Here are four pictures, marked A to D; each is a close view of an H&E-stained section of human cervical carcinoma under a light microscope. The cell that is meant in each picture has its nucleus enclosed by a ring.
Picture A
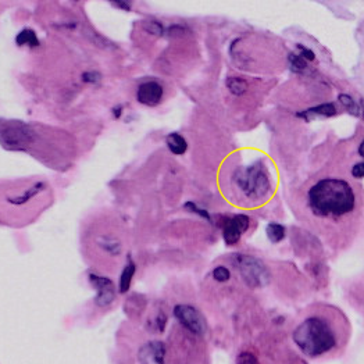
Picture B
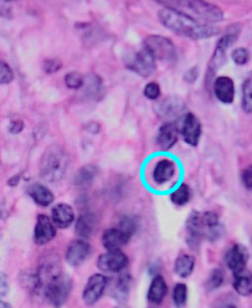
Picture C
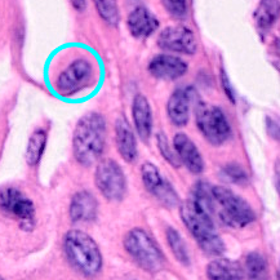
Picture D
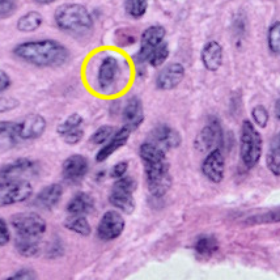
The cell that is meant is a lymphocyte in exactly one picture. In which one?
B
